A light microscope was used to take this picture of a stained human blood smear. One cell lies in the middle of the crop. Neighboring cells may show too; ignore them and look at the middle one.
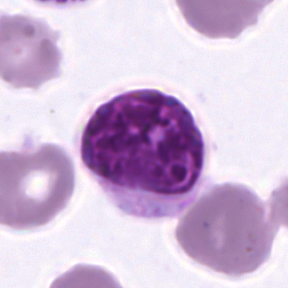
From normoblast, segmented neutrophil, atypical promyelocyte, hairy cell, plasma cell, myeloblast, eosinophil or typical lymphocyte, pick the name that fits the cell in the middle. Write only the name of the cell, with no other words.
plasma cell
